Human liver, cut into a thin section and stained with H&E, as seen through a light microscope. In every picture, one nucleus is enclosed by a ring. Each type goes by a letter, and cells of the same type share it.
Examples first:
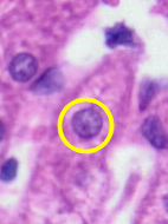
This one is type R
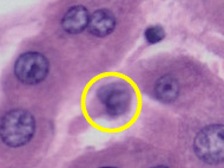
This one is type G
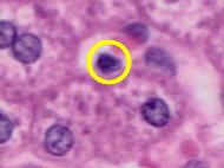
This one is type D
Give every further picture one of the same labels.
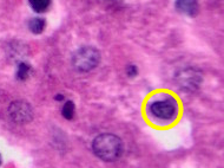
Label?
type G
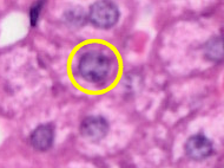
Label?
type R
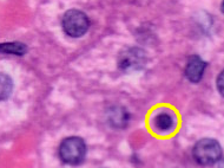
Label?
type D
